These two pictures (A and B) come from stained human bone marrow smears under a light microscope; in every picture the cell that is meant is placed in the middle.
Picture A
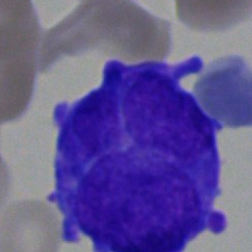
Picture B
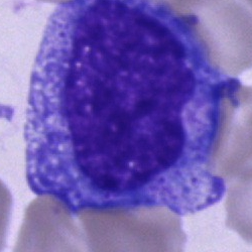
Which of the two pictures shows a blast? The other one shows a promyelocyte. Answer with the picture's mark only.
A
